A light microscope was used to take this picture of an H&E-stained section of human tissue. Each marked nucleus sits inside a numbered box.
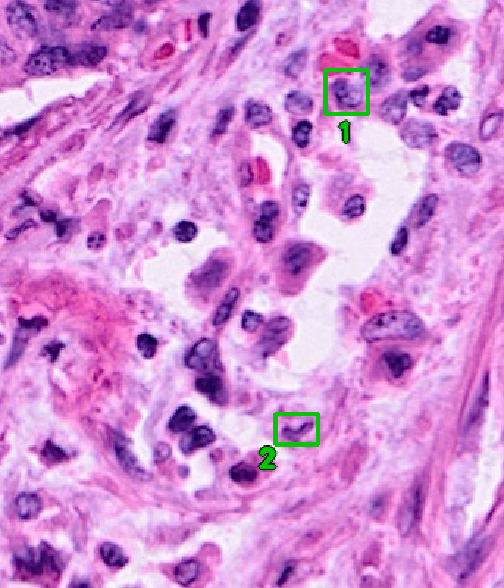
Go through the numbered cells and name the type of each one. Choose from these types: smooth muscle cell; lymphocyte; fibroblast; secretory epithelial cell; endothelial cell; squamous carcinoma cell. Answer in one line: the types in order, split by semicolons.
endothelial cell; fibroblast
